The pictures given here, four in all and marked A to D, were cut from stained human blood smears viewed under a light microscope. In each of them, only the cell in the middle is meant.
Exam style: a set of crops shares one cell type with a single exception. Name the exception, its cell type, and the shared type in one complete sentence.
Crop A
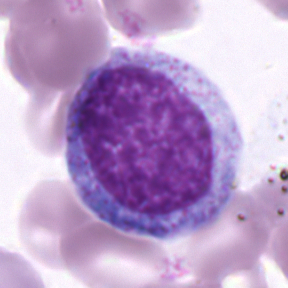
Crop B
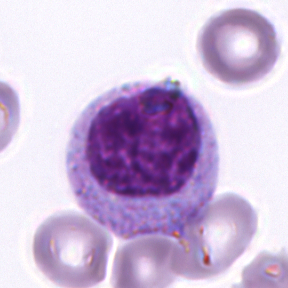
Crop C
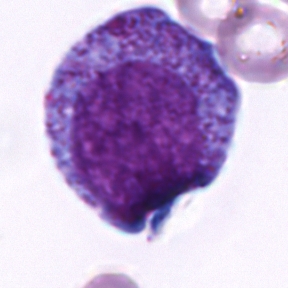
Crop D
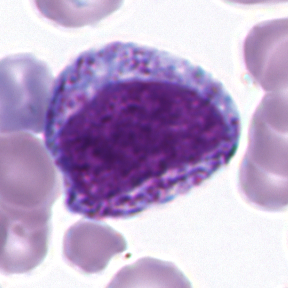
Crop B is the only one that is a myelocyte; all the others show promyelocytes.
